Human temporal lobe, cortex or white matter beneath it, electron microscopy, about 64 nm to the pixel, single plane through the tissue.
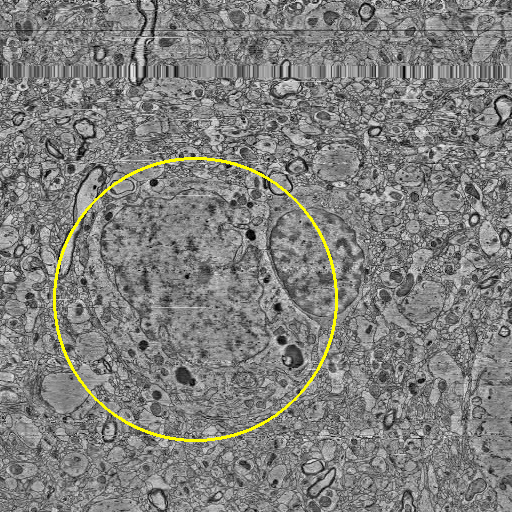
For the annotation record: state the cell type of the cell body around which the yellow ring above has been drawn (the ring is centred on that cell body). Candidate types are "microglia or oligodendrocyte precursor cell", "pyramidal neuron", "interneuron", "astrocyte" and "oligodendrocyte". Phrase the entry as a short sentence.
The ringed cell is an interneuron.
